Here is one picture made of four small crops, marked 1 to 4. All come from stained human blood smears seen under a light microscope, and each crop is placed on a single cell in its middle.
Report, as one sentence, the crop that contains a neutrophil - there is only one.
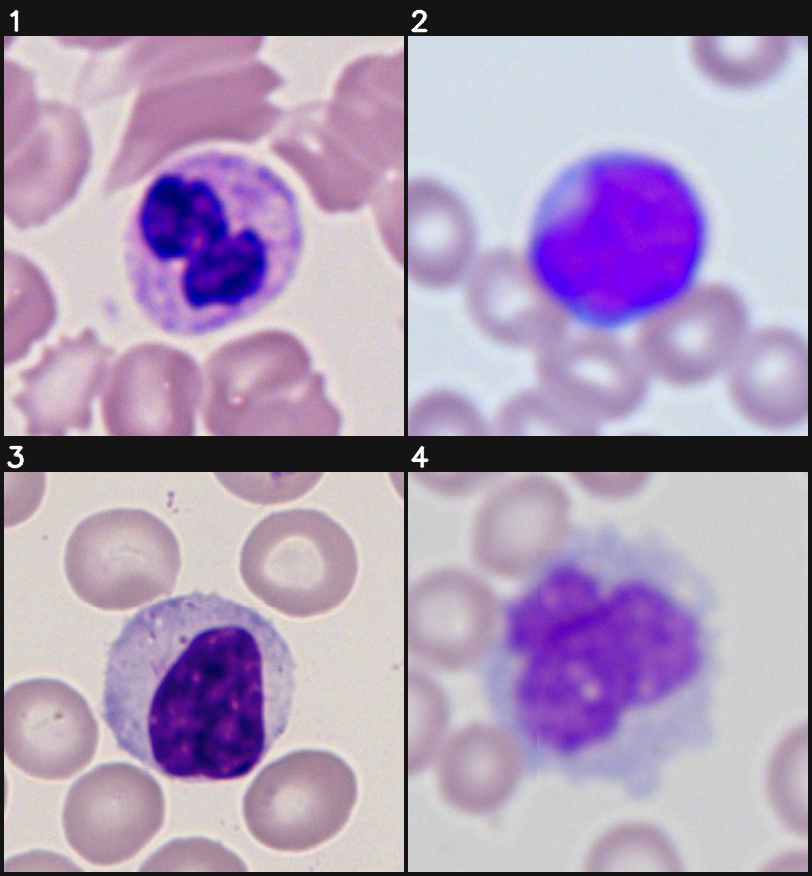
It is crop 1, not any other, that shows a neutrophil.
